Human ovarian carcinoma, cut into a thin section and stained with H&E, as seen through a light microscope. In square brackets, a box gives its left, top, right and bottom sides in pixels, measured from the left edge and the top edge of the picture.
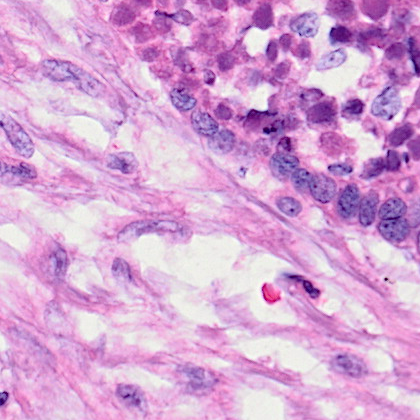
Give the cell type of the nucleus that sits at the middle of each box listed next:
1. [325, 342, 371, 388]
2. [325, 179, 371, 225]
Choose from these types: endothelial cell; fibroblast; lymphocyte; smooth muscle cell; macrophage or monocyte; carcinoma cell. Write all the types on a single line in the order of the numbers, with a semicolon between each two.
fibroblast; carcinoma cell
